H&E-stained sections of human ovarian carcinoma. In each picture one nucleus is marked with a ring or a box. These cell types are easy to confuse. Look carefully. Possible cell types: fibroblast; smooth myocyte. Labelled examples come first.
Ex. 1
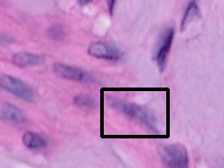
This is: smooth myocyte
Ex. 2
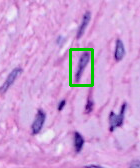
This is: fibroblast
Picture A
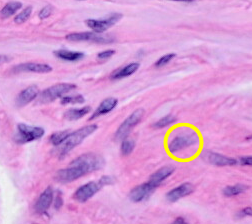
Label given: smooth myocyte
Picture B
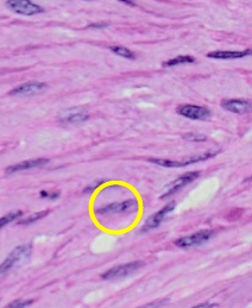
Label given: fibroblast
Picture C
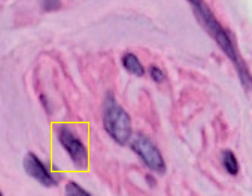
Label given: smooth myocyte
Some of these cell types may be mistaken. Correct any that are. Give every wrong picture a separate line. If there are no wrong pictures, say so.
All labels are correct.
